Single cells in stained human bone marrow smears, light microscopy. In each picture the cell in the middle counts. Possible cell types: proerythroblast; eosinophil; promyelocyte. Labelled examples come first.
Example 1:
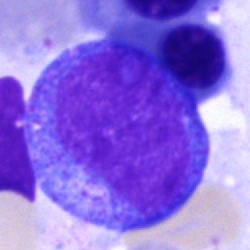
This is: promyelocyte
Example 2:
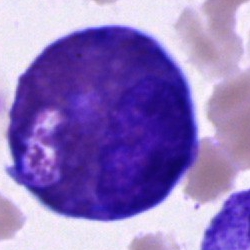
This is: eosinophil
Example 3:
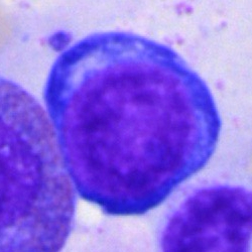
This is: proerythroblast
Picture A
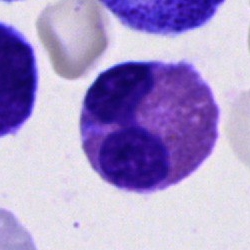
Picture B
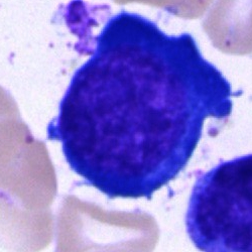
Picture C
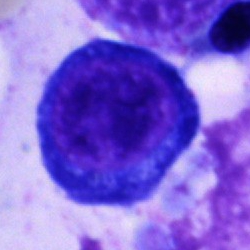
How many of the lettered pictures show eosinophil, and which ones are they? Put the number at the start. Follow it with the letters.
Count: 1 (A)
